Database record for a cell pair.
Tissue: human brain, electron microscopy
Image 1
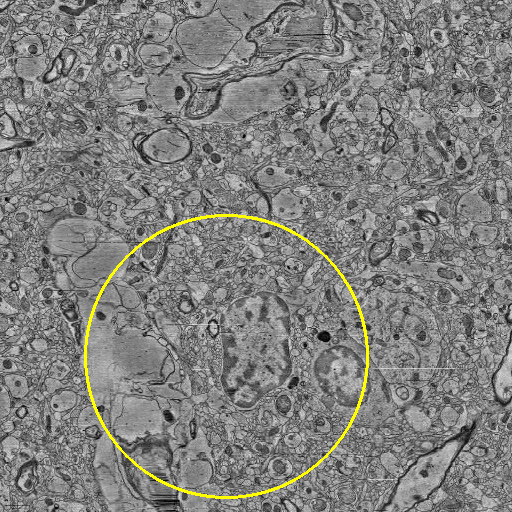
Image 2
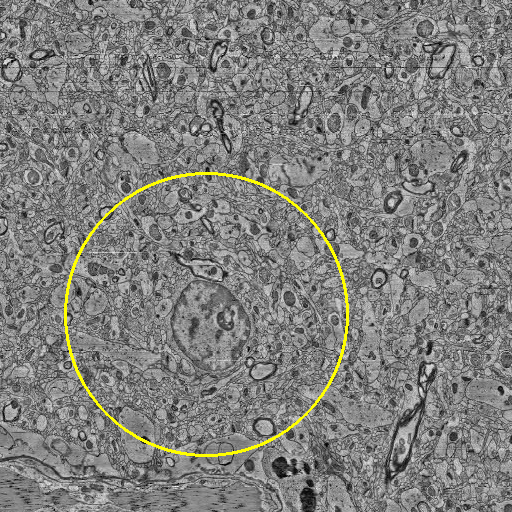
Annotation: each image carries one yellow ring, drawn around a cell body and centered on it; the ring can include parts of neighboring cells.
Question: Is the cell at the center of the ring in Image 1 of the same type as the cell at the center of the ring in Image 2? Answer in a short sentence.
No, the cells are of two types.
